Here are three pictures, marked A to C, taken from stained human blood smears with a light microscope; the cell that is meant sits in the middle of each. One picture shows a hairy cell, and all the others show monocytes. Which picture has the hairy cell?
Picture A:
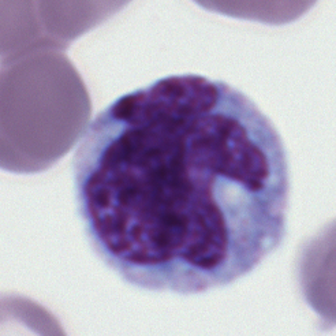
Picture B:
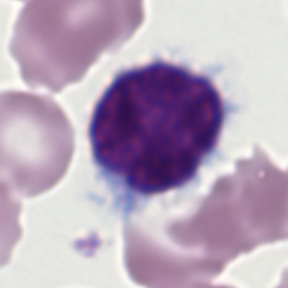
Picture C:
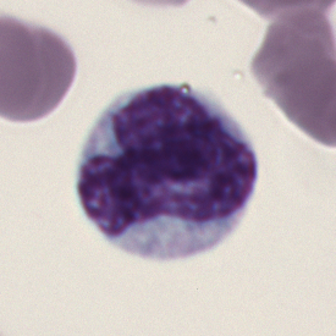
B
